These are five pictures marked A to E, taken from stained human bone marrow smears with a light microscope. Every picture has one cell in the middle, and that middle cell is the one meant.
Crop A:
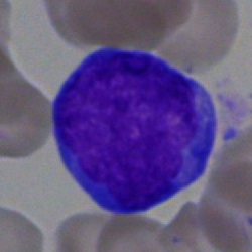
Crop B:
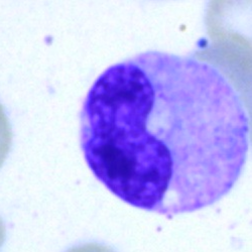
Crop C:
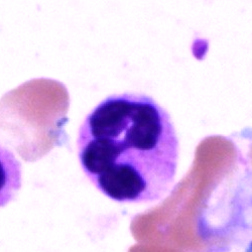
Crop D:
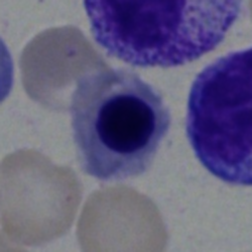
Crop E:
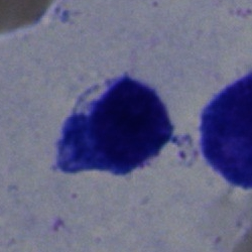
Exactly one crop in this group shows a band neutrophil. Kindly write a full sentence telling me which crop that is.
Of the cells presented, the one in crop B is a band neutrophil.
